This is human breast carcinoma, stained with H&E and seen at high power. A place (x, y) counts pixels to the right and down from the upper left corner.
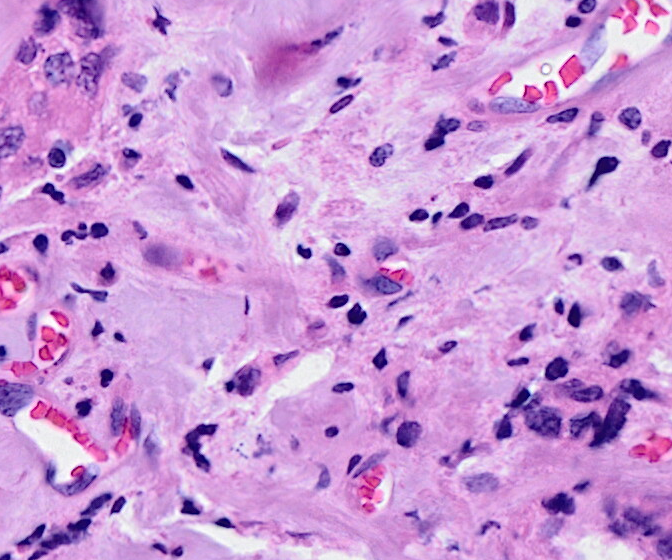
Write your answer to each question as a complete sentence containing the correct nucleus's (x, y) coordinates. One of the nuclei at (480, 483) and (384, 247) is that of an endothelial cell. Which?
Among the two nuclei, the one found at (384, 247) belongs to an endothelial cell.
